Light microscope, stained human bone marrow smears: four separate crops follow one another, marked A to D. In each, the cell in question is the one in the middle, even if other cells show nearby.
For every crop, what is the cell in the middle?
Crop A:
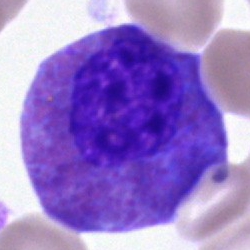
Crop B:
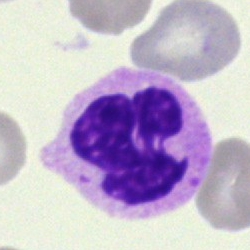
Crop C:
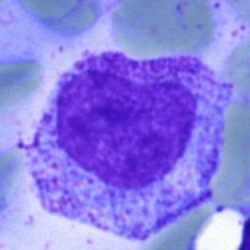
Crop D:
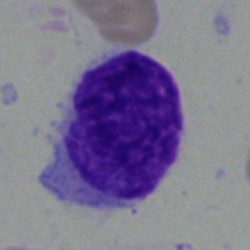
A: eosinophil
B: segmented neutrophil
C: myelocyte
D: hairy cell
